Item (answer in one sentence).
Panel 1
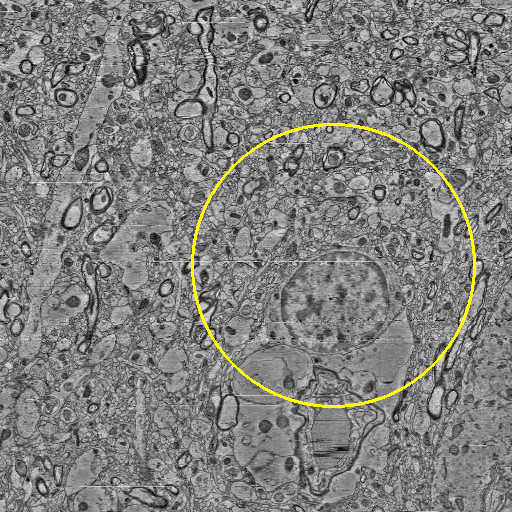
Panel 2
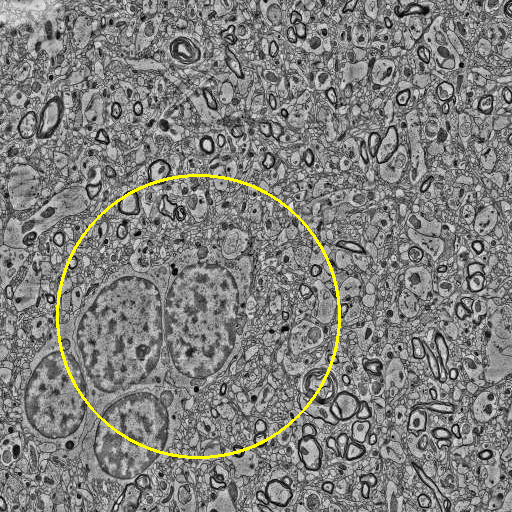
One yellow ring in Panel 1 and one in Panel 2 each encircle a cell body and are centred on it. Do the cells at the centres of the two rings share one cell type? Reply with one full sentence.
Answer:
Yes, Panel 1 and Panel 2 show cells of one type at the centres of their rings.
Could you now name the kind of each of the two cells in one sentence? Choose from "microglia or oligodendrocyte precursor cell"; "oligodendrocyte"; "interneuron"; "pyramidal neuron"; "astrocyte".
Each of the ringed cells, first and second, is an oligodendrocyte.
